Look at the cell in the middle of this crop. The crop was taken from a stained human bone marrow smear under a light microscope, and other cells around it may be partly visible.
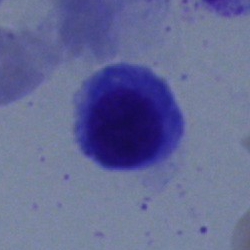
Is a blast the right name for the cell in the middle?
no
